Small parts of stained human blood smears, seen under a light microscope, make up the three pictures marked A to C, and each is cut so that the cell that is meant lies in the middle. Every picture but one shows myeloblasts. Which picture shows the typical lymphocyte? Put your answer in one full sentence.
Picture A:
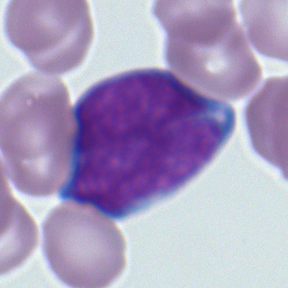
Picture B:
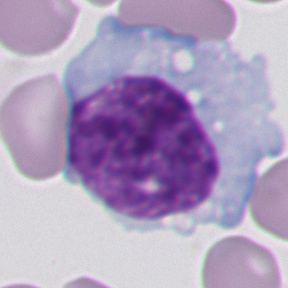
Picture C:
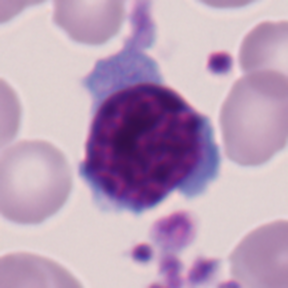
The cell in picture C is the typical lymphocyte.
